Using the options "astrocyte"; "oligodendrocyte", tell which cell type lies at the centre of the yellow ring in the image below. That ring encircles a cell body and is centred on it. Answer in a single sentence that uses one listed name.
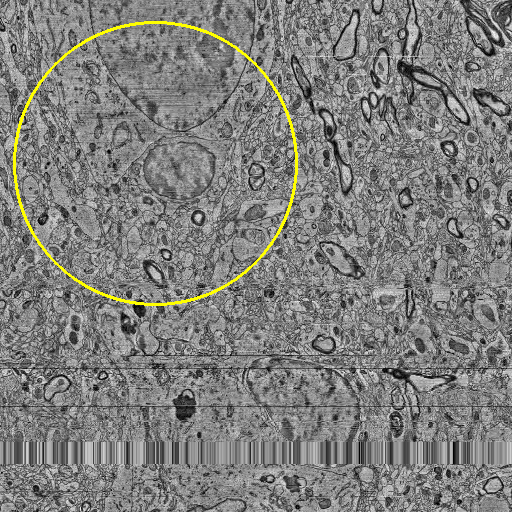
At the centre of the yellow ring lies the body of an oligodendrocyte.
